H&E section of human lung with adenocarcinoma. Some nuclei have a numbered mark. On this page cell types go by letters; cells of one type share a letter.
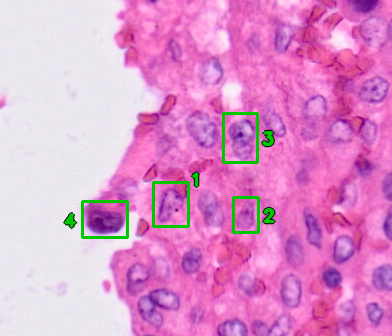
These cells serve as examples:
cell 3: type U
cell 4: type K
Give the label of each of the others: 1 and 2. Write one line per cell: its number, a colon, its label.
1: type U
2: type U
